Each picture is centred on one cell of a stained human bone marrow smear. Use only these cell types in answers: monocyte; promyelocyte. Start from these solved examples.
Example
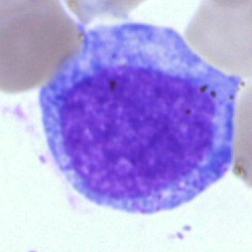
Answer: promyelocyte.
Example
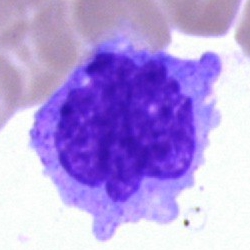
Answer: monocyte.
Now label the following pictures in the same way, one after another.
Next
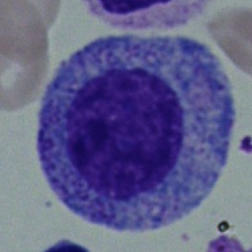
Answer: promyelocyte.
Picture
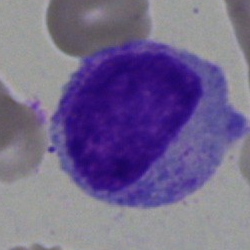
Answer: promyelocyte.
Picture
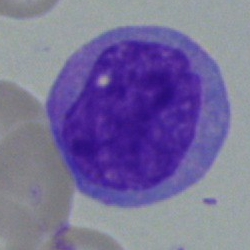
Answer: monocyte.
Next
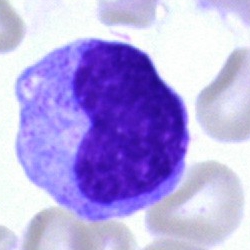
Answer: monocyte.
